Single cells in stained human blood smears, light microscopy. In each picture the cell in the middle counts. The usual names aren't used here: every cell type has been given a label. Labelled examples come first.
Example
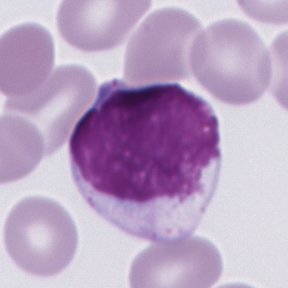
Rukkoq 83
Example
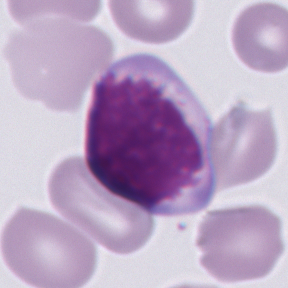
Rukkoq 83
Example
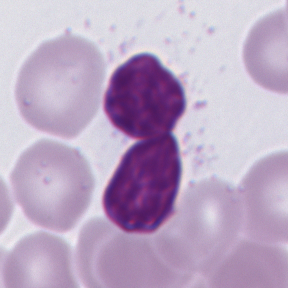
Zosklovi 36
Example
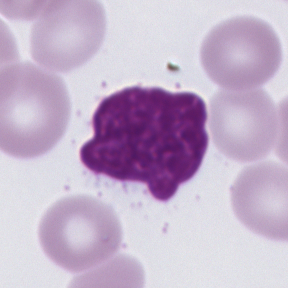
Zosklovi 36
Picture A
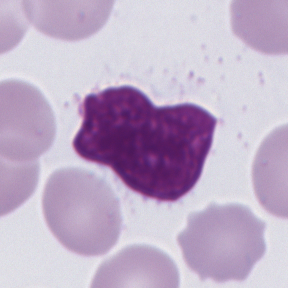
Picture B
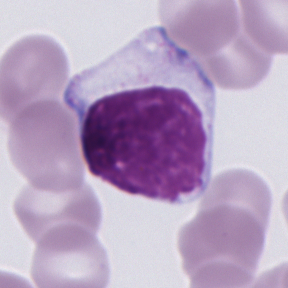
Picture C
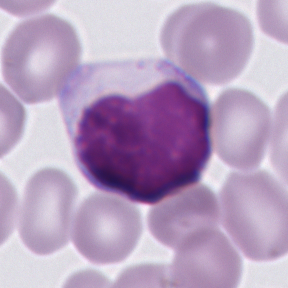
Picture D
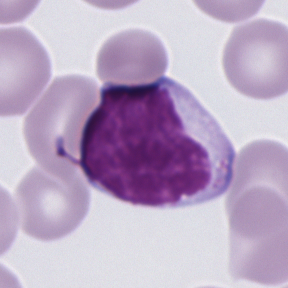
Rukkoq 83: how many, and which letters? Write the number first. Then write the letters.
Count: 3 (B, C, D)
